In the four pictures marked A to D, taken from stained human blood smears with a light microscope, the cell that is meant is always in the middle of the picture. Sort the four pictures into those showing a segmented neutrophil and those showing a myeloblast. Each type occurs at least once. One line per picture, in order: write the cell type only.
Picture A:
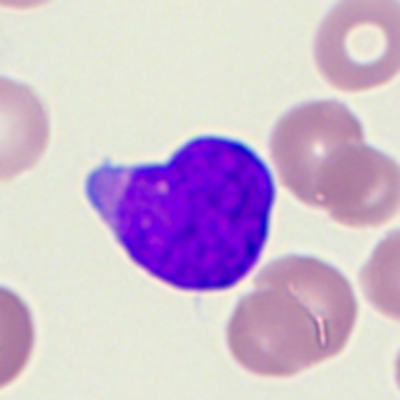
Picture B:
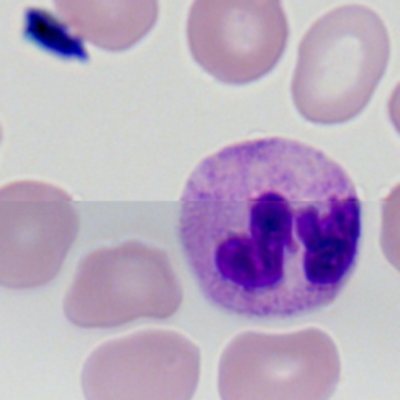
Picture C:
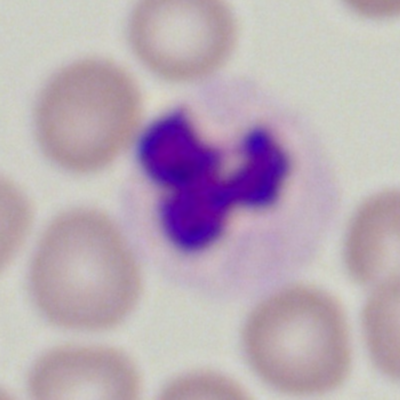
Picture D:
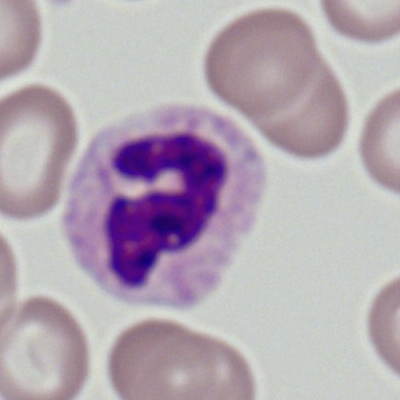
myeloblast
segmented neutrophil
segmented neutrophil
segmented neutrophil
